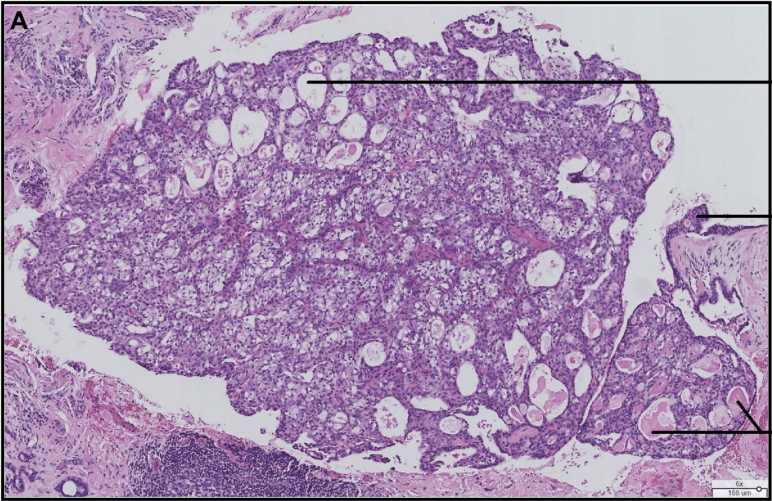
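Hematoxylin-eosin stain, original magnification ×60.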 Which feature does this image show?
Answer: microcystic spaces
